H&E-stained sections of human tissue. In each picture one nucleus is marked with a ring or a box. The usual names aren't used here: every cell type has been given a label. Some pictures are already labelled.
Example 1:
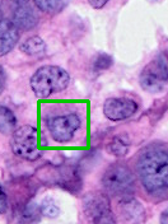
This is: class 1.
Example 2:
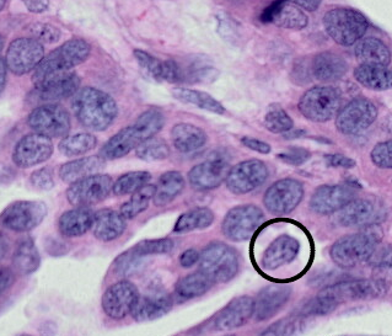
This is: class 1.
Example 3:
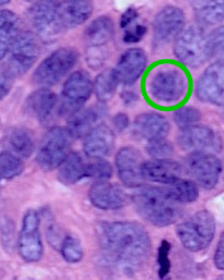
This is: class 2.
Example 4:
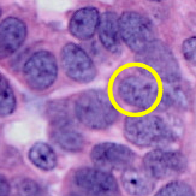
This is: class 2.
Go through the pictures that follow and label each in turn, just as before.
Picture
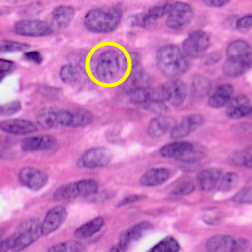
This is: class 2.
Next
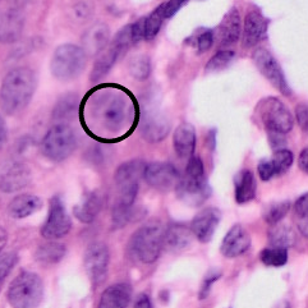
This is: class 2.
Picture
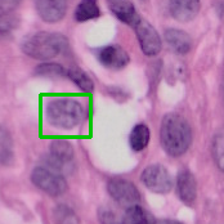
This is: class 1.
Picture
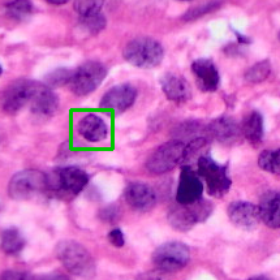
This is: class 1.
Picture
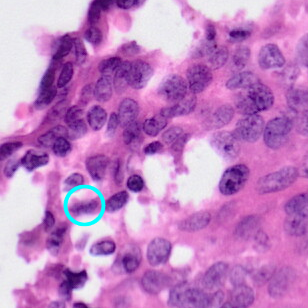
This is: class 2.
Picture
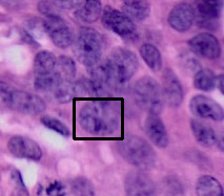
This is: class 2.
